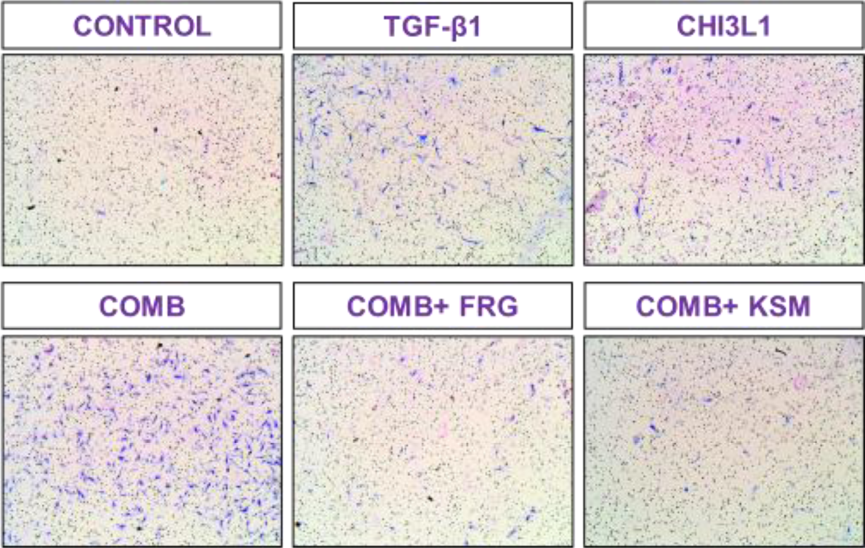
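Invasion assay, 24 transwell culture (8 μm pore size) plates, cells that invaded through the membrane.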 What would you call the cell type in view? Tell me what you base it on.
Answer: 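Fibroblast. Blue-violet elongated, spindle-shaped cells lie on a pale background. Fine evenly spread black dots cover the whole field.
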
